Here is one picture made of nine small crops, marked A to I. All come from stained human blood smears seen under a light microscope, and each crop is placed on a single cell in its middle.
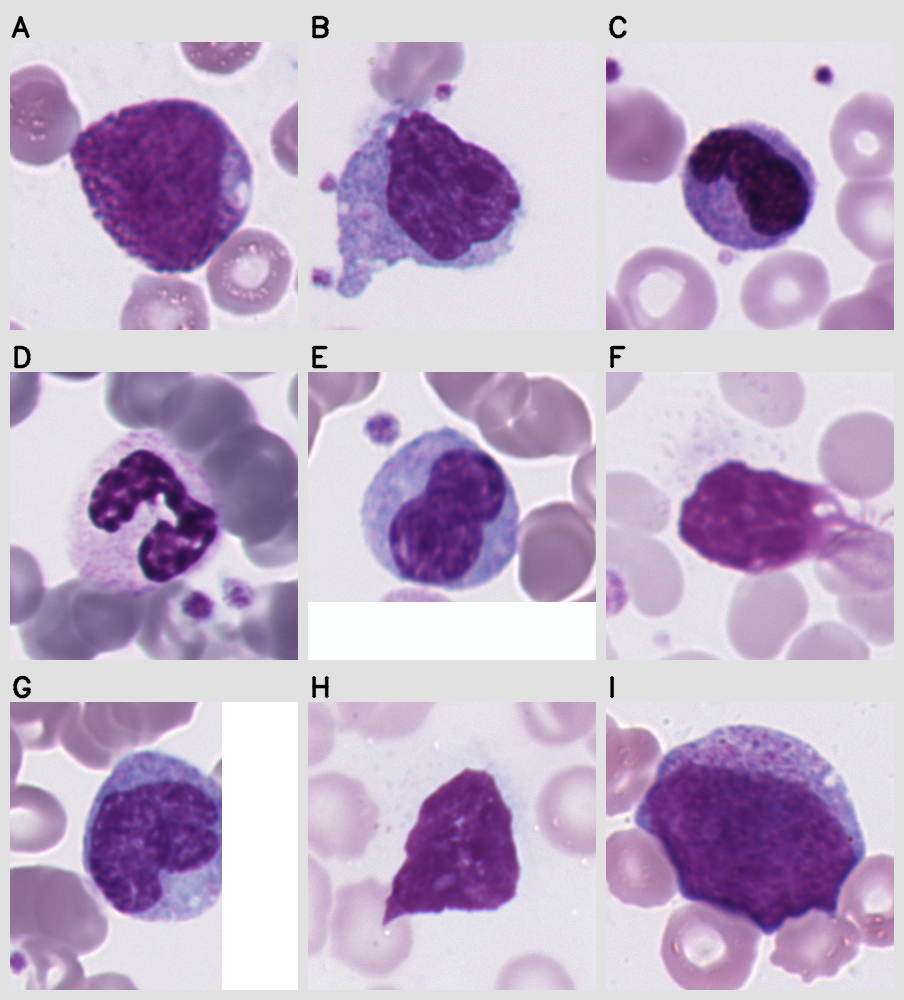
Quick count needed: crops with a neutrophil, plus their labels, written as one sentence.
Only one crop shows a neutrophil, and that is crop D.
